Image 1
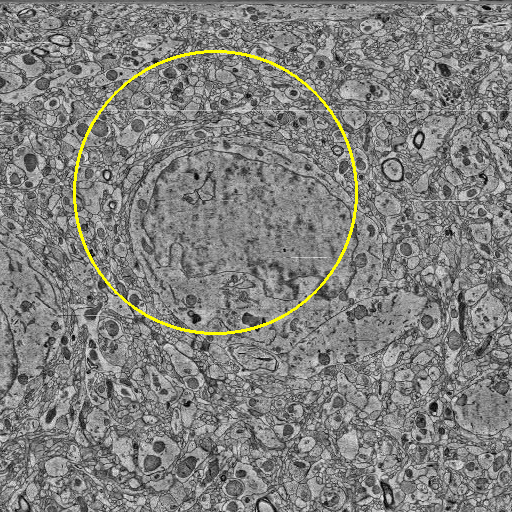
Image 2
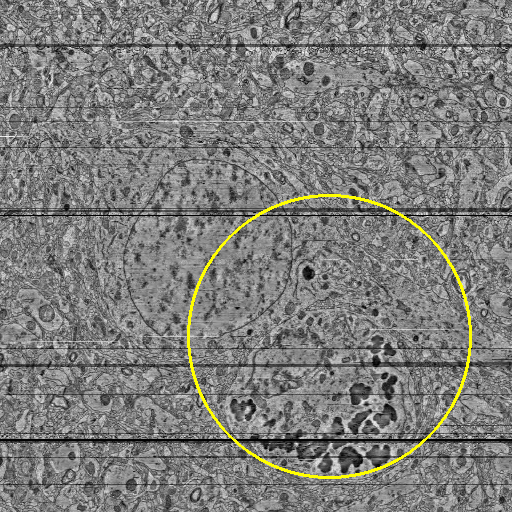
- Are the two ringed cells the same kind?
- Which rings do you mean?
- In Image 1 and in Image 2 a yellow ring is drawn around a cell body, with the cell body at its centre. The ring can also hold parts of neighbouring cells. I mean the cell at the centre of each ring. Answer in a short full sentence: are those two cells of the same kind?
Yes, both cells are of the same kind.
